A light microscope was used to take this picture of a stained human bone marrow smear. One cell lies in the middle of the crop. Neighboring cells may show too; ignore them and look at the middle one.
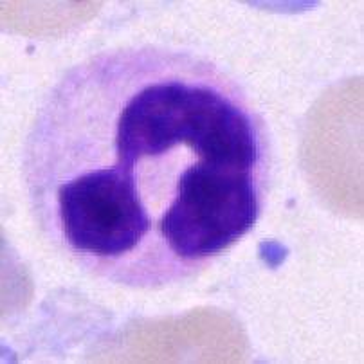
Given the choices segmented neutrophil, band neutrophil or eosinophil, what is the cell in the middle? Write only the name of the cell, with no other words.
segmented neutrophil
